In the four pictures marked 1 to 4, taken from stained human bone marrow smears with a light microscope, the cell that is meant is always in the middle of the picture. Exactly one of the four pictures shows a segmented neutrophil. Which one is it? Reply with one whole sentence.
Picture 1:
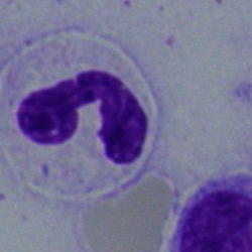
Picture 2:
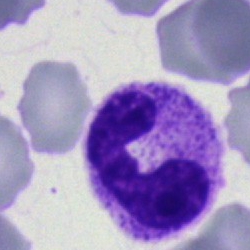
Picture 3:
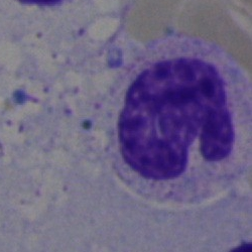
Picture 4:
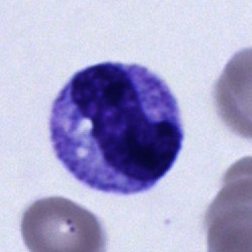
It is picture 1 that shows the segmented neutrophil.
